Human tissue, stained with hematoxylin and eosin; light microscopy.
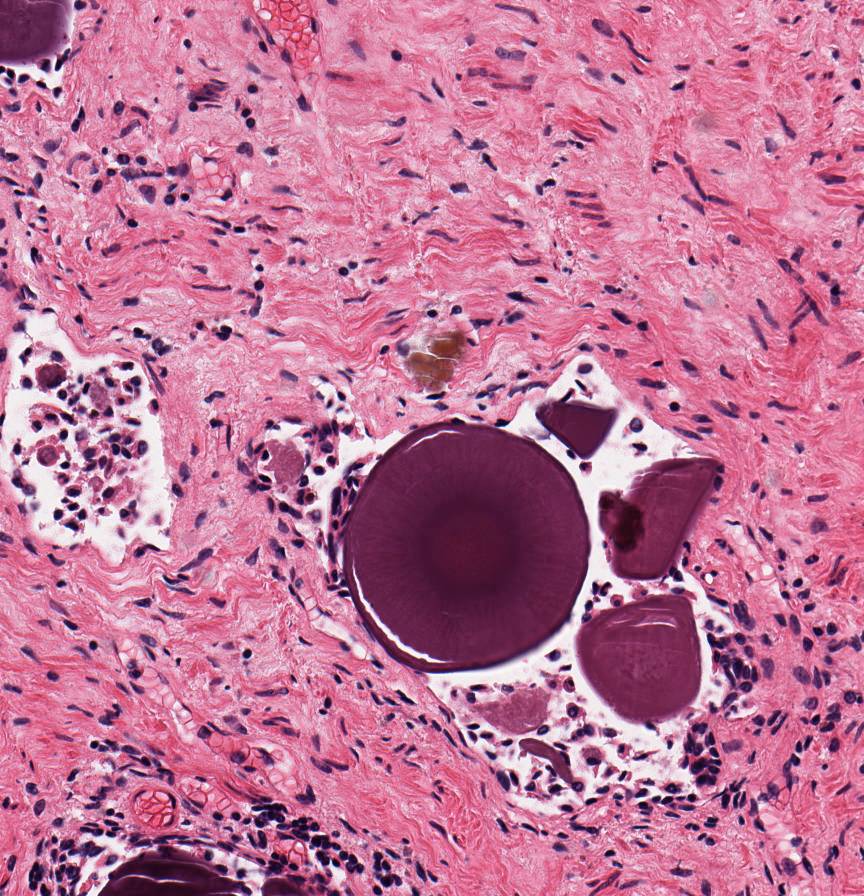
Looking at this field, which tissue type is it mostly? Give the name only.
fibromuscular stroma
